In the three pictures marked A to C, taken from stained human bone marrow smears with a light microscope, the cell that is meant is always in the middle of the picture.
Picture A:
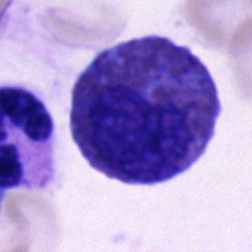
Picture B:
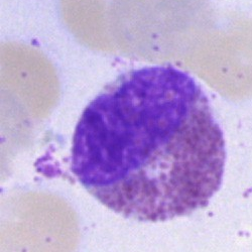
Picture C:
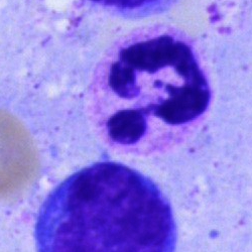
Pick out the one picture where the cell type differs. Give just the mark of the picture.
C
